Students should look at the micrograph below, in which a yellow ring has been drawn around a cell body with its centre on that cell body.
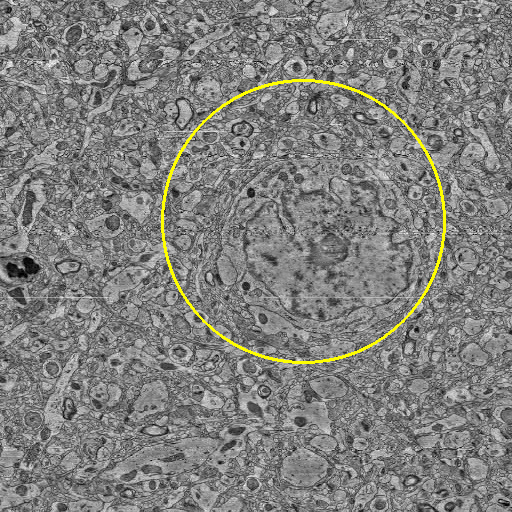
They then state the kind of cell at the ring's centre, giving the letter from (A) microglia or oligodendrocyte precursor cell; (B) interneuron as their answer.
B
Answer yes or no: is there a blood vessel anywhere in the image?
No, there is no blood vessel.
